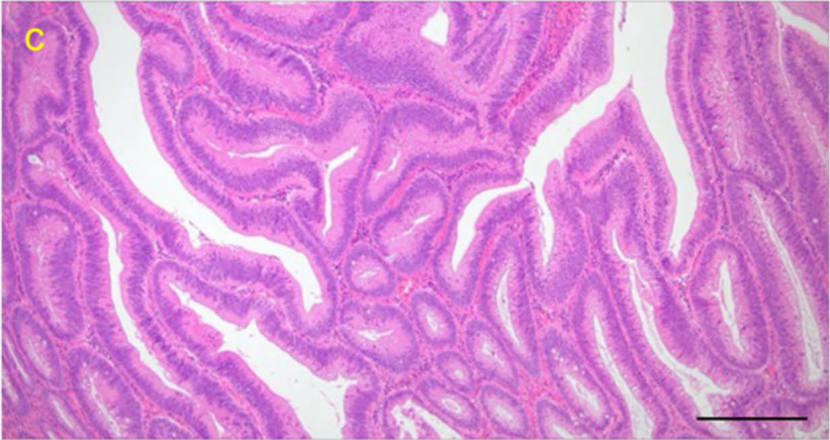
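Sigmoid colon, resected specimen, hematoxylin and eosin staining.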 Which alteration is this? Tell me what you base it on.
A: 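Long finger-like fronds are separated by clear spaces. Tubular glands are cut in cross-section among the fronds. Glands and fronds are lined by crowded columnar cells with elongated, dark, stratified nuclei.
Tubulovillous adenoma.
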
